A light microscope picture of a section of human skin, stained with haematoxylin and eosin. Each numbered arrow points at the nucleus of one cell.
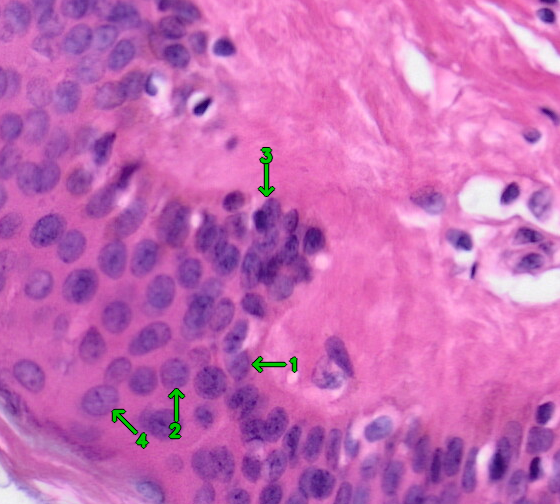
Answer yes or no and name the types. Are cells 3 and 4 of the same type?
No, whereas cell 4 is a suprabasal keratinocyte, cell 3 is a basal keratinocyte.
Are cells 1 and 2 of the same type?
No, cell 2 is a suprabasal keratinocyte, whereas cell 1 is a basal keratinocyte.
